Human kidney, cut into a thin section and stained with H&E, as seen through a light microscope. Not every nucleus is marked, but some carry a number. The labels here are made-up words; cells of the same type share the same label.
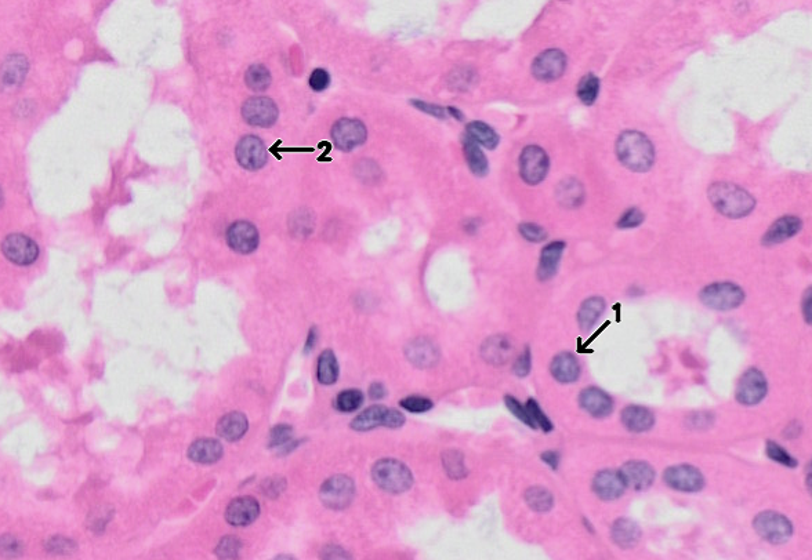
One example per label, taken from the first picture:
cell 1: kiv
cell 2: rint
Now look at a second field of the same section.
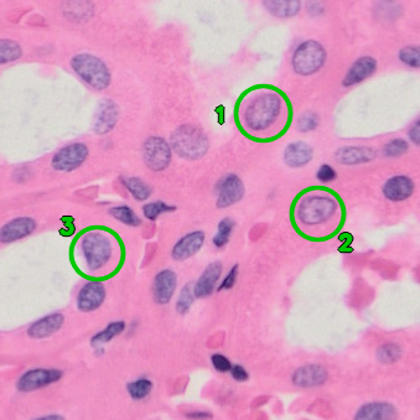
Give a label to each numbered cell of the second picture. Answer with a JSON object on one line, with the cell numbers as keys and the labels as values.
{"1": "rint", "2": "rint", "3": "kiv"}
